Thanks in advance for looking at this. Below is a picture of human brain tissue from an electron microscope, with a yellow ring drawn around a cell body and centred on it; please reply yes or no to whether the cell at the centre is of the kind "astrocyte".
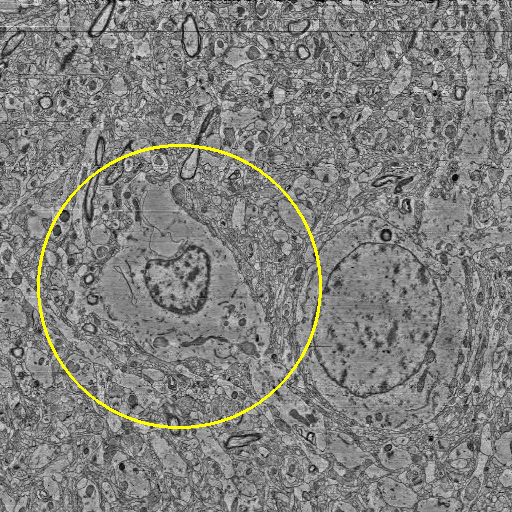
yes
